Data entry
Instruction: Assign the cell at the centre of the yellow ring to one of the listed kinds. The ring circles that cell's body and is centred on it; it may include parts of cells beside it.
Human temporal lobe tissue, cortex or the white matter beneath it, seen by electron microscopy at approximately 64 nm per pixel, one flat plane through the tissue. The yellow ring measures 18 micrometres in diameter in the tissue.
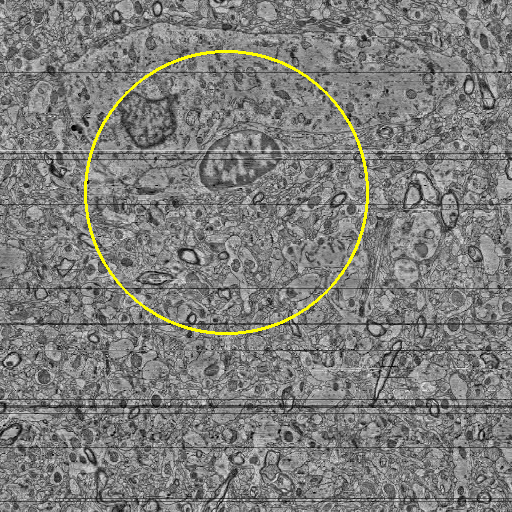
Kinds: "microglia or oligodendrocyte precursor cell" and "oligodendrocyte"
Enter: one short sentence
The centre of the ring falls on a microglial cell or oligodendrocyte precursor cell.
